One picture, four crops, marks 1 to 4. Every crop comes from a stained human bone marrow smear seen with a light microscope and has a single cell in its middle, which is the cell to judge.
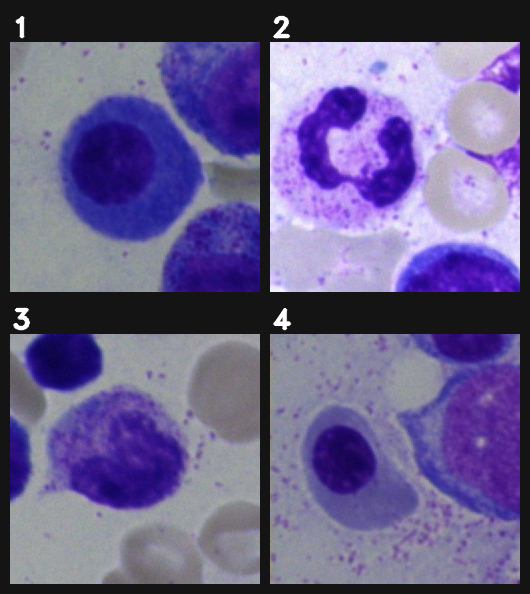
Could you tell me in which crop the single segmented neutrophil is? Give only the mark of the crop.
2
